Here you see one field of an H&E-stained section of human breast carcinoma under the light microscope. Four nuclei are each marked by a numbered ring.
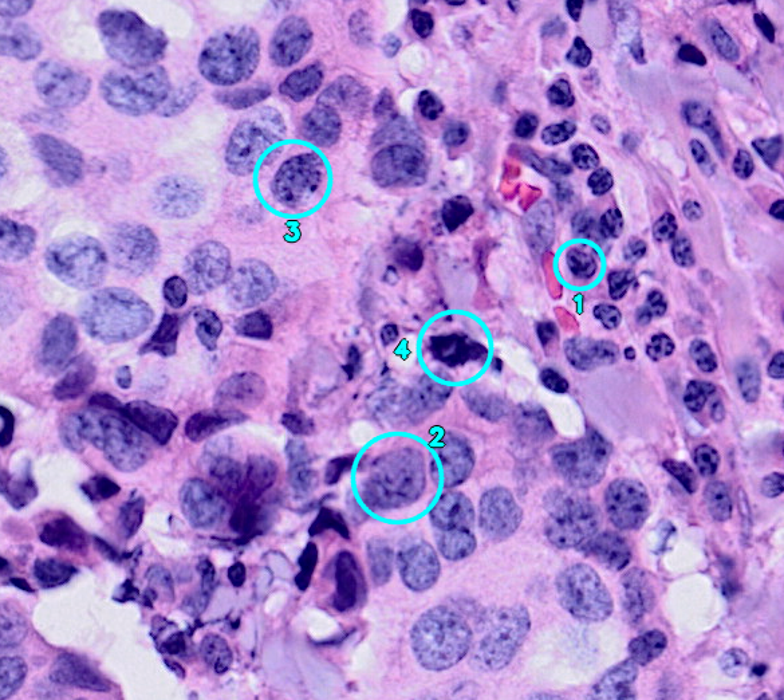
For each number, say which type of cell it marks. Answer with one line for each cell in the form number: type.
1: lymphocyte
2: carcinoma cell
3: carcinoma cell
4: carcinoma cell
